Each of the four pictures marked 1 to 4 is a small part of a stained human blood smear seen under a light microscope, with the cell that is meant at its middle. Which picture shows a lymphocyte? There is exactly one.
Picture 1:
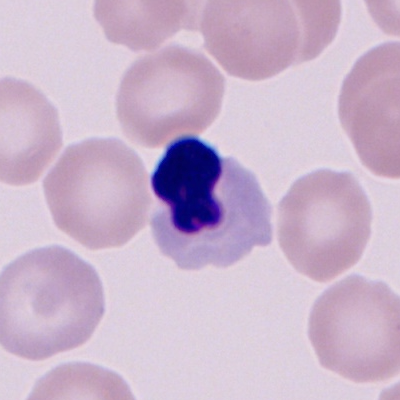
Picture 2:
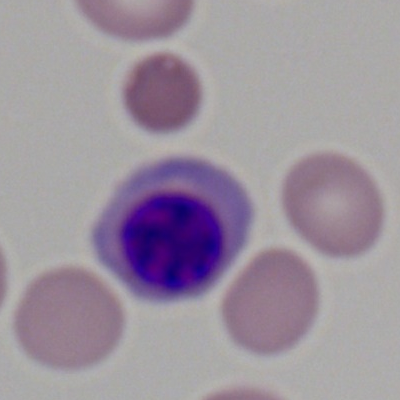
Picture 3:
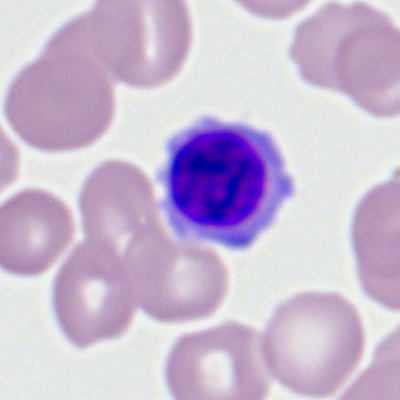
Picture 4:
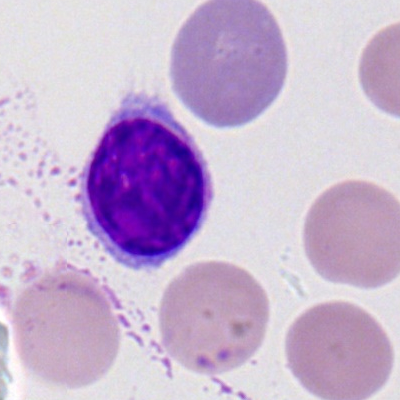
4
